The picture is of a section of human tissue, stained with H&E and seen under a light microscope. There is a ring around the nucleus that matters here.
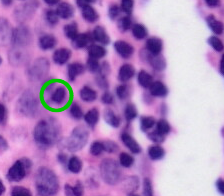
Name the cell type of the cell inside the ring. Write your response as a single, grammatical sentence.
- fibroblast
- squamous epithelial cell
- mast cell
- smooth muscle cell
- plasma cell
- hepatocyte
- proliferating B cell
In the stained section, the cell inside the ring is a proliferating B cell.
